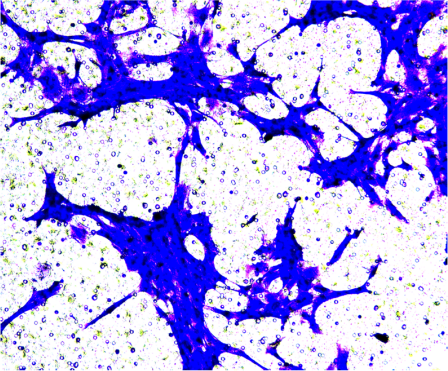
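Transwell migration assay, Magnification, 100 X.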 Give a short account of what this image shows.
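The pale membrane is dotted with regular small round pores. The cells are crowded into thick, branching cords and sheets in which single outlines are hard to separate. At the margins of these cords, spindle-shaped and star-shaped cells extend long tapering processes. The cords join into a coarse network that encloses large, rounded, cell-free areas of bare membrane. A few isolated elongated cells lie apart from the network.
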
